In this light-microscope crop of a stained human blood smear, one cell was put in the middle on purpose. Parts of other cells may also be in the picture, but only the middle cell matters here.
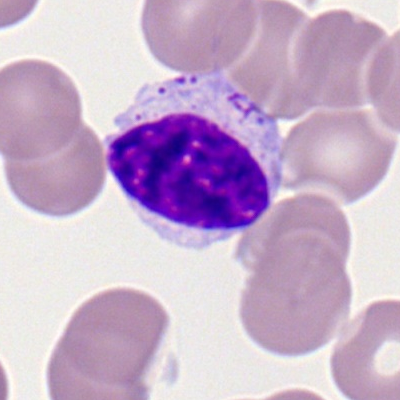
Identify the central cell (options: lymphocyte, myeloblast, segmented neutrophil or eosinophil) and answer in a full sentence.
The cell centred in this crop is categorized as a lymphocyte.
